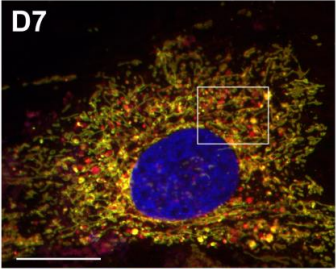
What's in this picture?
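A large oval blue nucleus sits near the middle, surrounded by a dense meshwork of long, branching, threadlike mitochondria that fill much of the cytoplasm. Where red and green overlap the network looks yellow-green. Scattered through it are small round dots that are red alone, standing out against the yellow network. The network thins towards the cell's edges, where a neighbouring area stays dark.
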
